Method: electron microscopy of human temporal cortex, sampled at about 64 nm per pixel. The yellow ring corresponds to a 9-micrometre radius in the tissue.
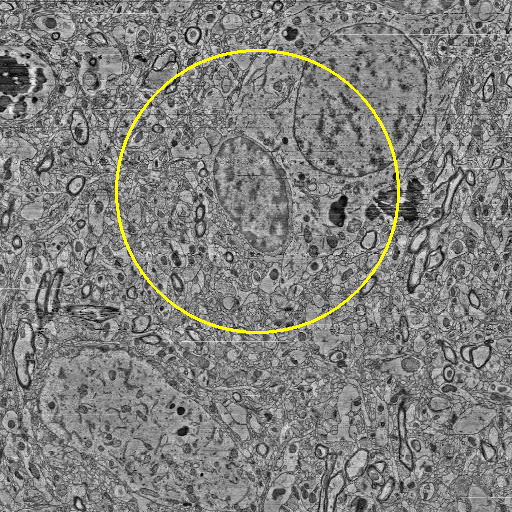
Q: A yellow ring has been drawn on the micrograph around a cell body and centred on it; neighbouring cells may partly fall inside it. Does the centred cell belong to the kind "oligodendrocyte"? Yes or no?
Yes, it belongs to that kind.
